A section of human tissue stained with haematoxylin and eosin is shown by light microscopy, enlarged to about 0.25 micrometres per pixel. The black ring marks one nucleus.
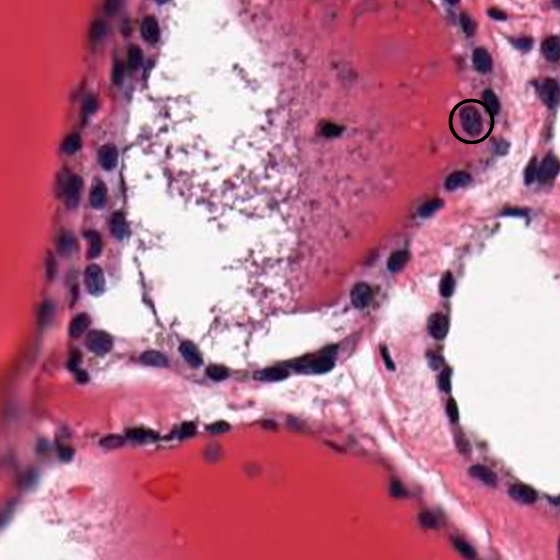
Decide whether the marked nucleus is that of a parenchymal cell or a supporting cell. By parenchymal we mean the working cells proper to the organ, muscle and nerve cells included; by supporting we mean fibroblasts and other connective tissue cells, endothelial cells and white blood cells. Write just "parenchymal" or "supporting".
parenchymal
